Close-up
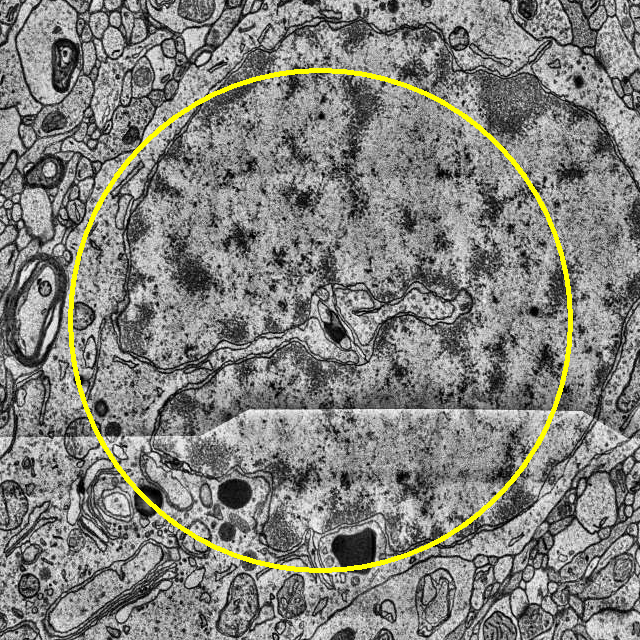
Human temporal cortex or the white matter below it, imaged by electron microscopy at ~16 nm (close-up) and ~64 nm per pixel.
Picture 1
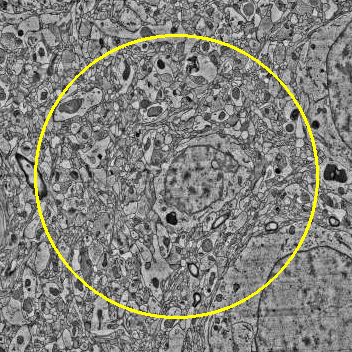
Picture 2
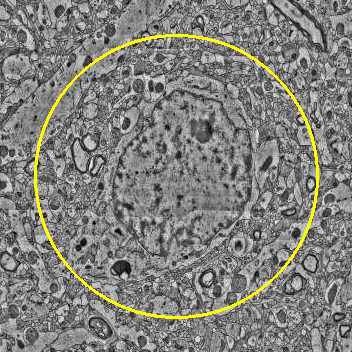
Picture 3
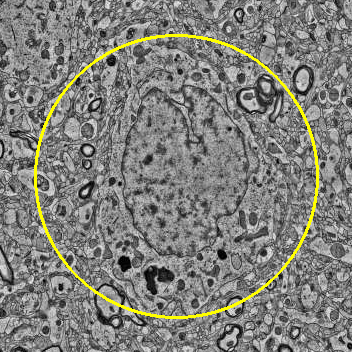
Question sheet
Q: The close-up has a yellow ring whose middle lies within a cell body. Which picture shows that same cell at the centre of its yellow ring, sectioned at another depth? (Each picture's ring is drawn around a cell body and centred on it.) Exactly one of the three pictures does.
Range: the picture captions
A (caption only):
Picture 2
